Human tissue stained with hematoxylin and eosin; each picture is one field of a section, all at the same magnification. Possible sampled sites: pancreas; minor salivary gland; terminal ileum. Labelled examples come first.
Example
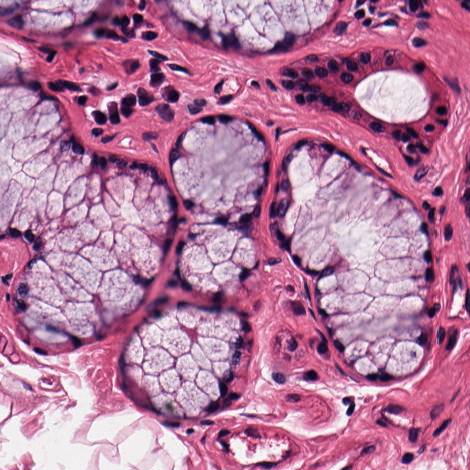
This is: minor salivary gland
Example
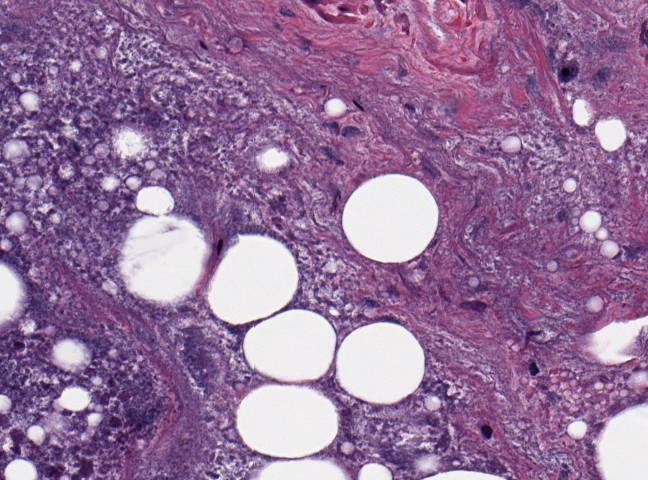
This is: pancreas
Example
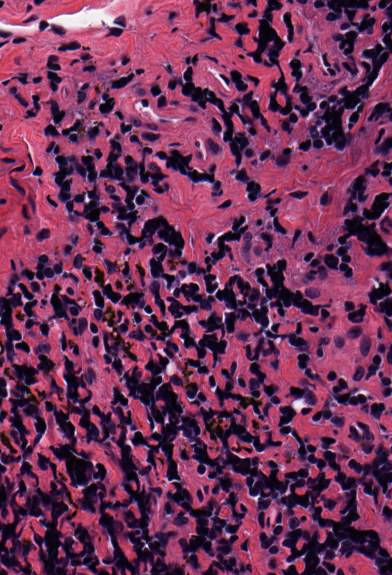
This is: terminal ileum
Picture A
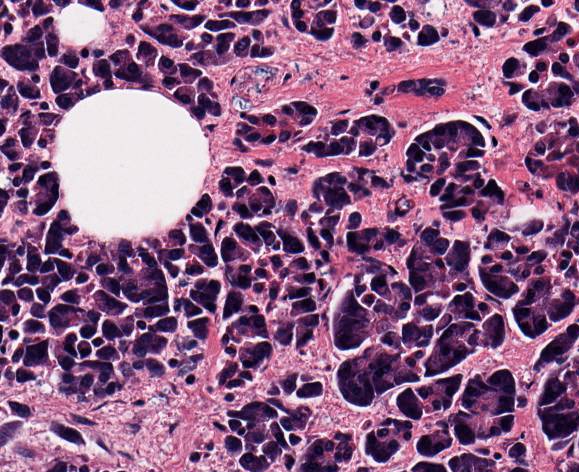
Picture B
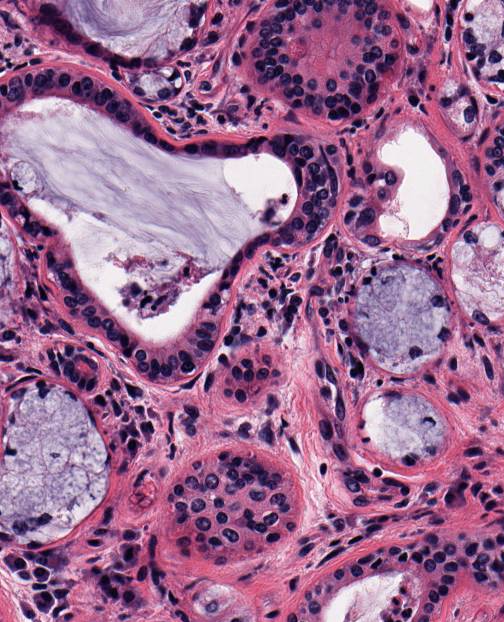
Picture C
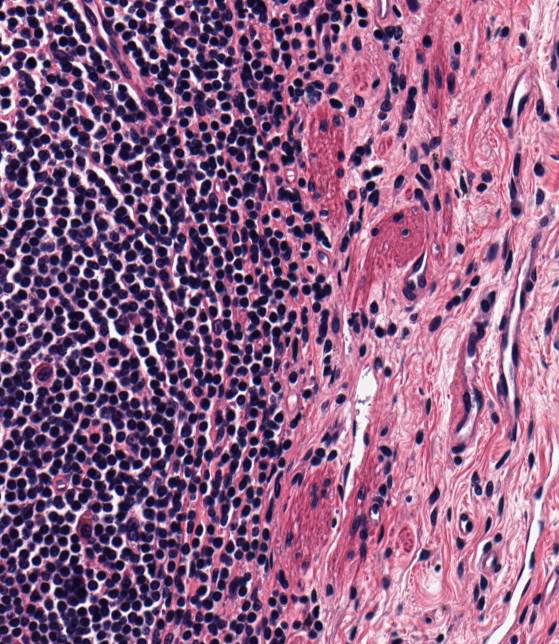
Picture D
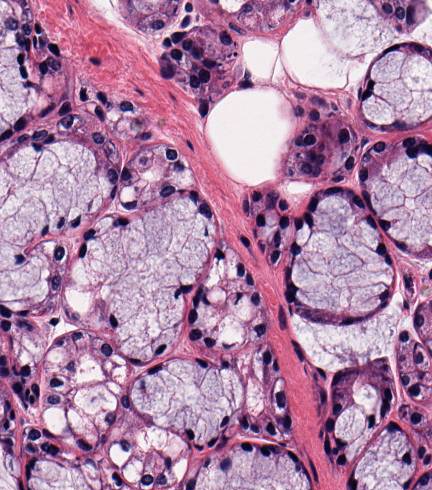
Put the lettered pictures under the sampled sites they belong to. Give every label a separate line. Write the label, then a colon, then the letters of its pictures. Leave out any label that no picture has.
pancreas: A
minor salivary gland: B, D
terminal ileum: C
